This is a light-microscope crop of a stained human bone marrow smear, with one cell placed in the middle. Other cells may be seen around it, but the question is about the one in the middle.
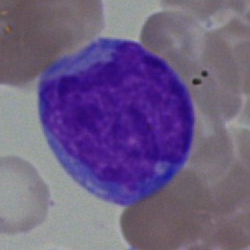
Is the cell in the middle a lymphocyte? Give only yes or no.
no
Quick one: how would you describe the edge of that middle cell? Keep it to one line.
Around its whole circumference the outline stays smooth, free of projections.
